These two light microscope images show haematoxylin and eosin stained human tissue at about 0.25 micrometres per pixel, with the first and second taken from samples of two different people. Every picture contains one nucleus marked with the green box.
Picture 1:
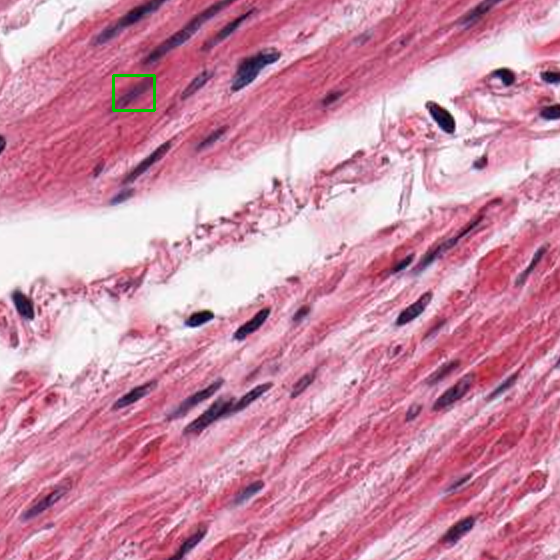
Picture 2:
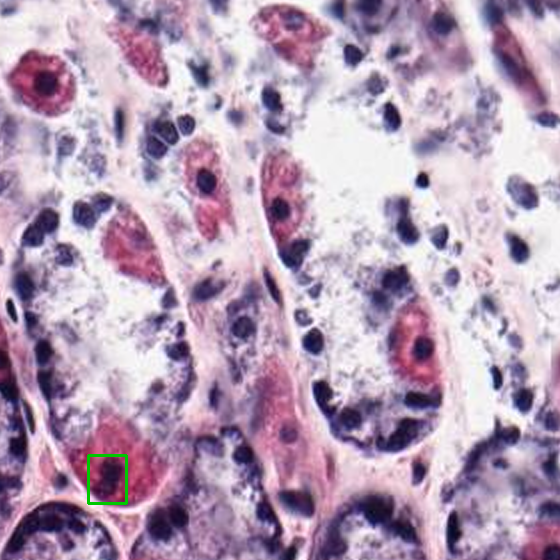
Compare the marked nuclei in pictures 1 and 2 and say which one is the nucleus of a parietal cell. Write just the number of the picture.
2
